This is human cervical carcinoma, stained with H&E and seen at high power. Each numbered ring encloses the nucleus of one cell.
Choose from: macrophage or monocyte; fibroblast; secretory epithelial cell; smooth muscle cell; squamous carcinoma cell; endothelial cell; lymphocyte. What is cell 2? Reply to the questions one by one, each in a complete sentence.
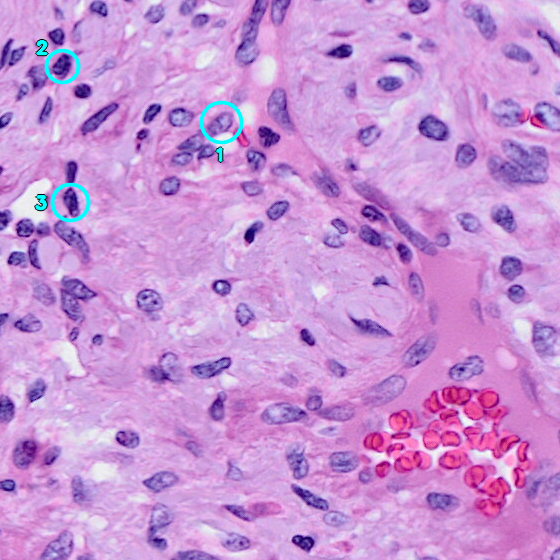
What the number 2 marks in this field is a lymphocyte.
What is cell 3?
In the marked set, the cell given number 3 is a lymphocyte.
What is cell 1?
The one labeled 1 is an endothelial cell, to put it simply.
